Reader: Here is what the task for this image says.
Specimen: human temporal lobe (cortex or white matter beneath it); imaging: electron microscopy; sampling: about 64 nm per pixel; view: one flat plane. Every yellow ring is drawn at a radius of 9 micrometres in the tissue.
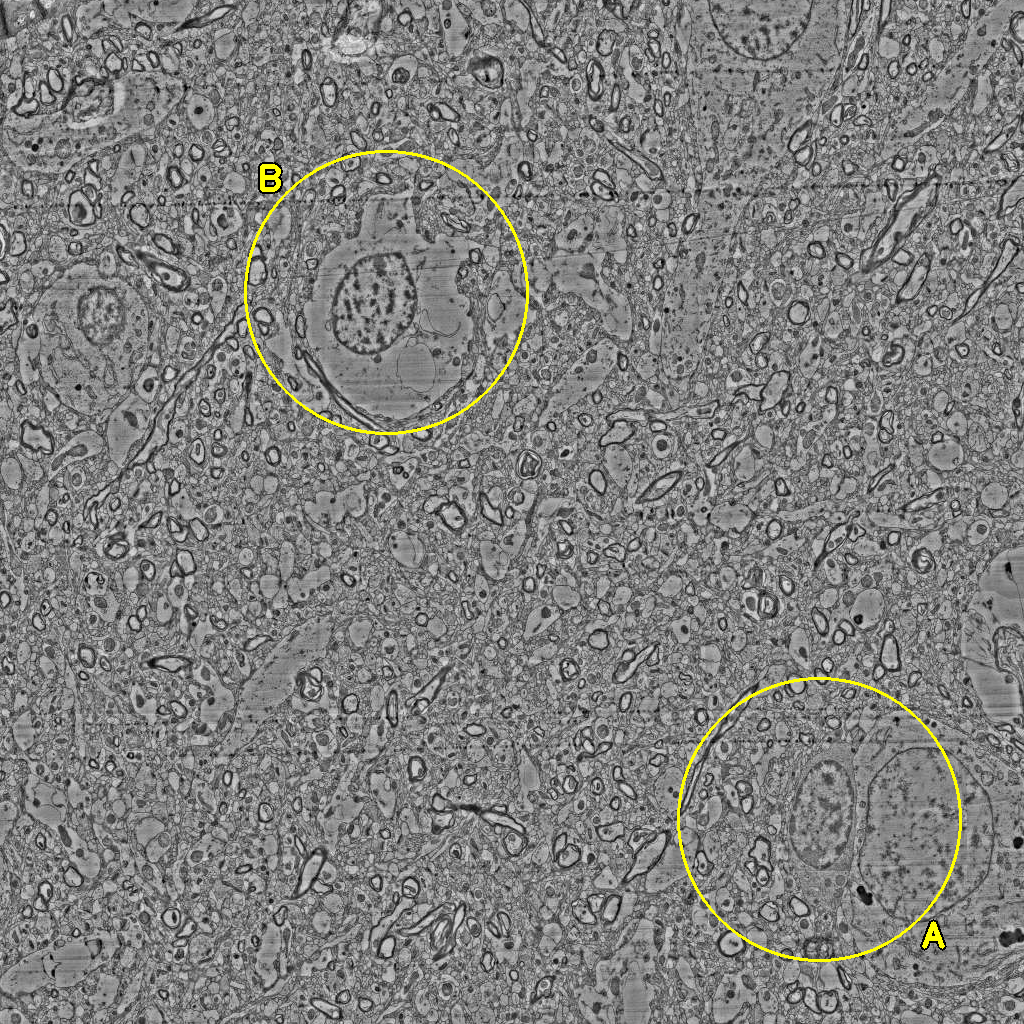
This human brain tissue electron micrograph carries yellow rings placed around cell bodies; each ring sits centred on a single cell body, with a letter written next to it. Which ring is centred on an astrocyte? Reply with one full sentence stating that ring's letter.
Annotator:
Letter B marks the ring whose centre holds the cell asked for.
